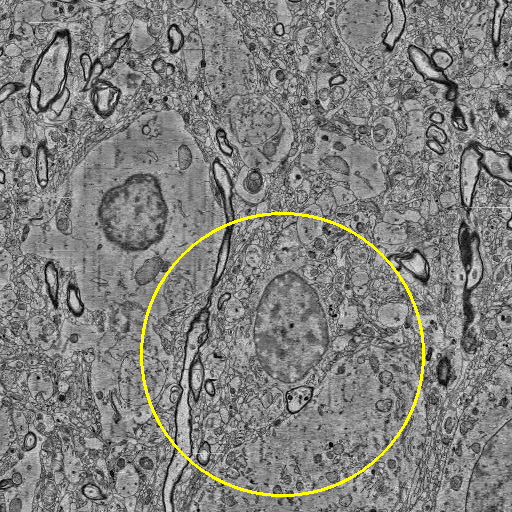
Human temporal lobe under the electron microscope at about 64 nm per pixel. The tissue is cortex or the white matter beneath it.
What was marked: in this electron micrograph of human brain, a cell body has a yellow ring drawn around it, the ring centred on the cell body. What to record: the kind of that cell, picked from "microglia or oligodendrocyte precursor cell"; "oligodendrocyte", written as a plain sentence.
The centred cell is an oligodendrocyte.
